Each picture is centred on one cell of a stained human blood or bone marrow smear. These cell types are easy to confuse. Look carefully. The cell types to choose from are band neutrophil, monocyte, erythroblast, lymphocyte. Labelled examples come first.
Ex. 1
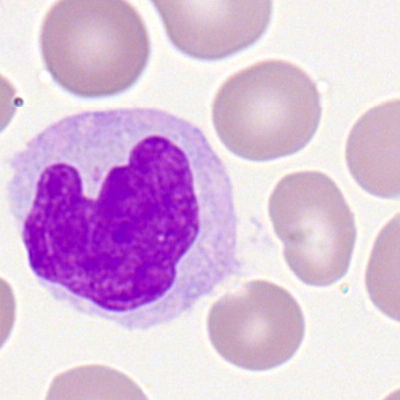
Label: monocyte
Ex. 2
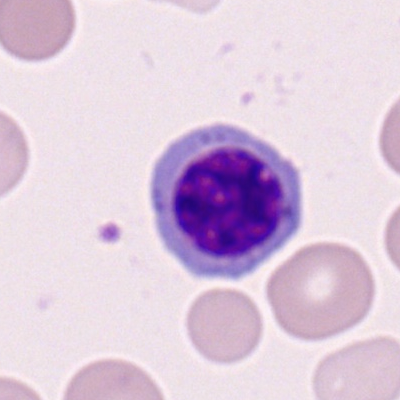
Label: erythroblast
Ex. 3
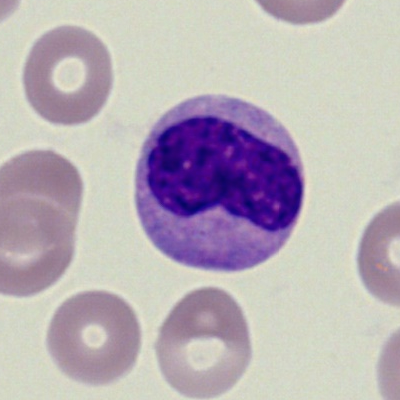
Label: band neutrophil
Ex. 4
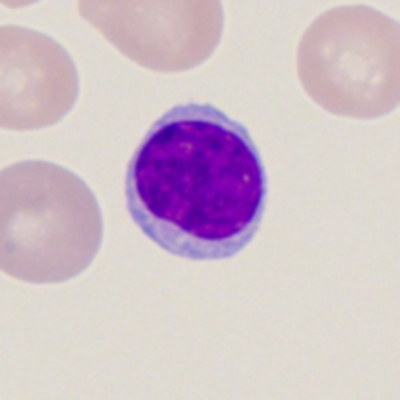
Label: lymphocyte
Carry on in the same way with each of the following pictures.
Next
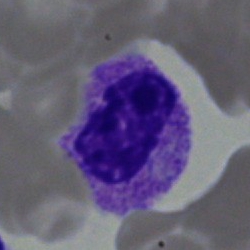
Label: band neutrophil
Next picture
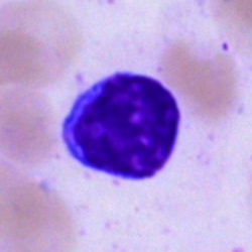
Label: lymphocyte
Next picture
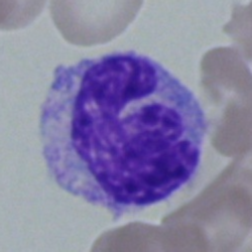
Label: monocyte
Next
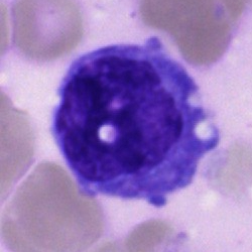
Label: monocyte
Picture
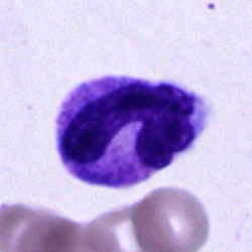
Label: band neutrophil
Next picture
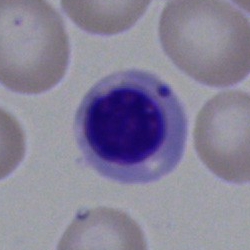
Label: erythroblast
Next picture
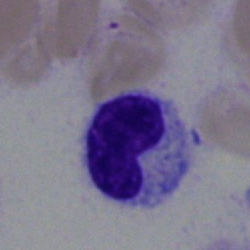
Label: band neutrophil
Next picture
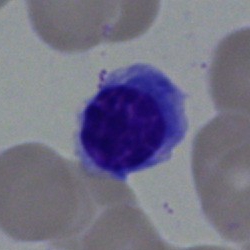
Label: erythroblast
